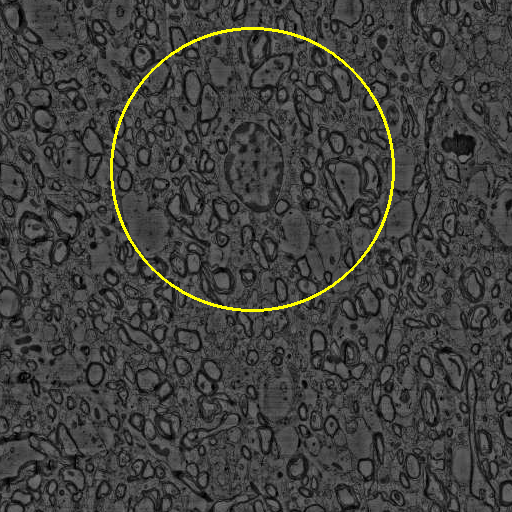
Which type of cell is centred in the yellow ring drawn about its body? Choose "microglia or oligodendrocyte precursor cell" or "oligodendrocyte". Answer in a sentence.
The yellow ring surrounds the cell body of a microglial cell or oligodendrocyte precursor cell.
